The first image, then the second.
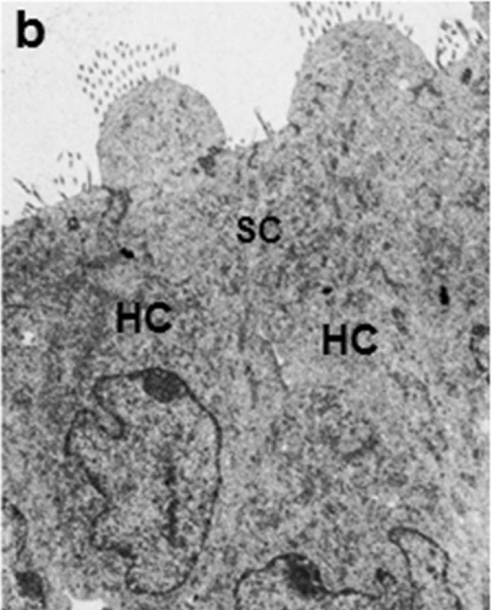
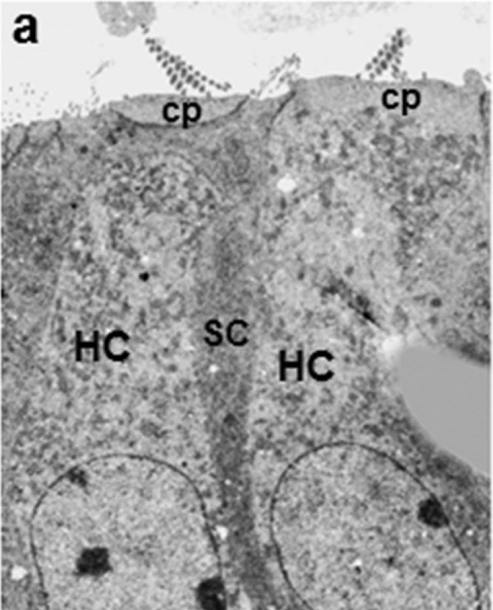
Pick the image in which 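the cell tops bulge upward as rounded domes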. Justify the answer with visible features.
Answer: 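First image: the apical surfaces of the cells rise as rounded domes. Second image: the apical surfaces of the cells lie flat in one line.
Conclusion: the first image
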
